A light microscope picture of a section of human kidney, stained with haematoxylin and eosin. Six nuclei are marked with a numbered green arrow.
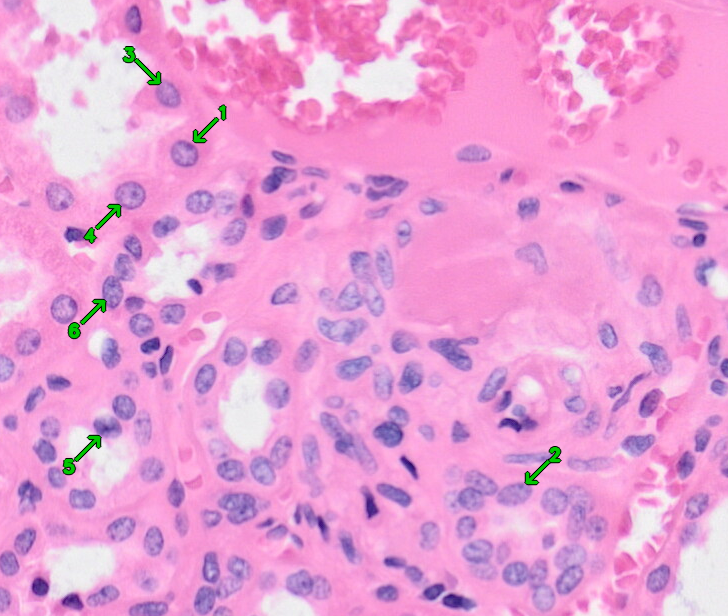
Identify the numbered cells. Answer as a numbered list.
1. proximal tubule cell
2. collecting duct cell
3. proximal tubule cell
4. proximal tubule cell
5. collecting duct cell
6. collecting duct cell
